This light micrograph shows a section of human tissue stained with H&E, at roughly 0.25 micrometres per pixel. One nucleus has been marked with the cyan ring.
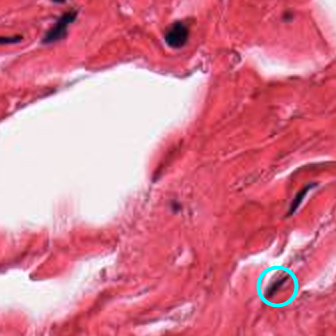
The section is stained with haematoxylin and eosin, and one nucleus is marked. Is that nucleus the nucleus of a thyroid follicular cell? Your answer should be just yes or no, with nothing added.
no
